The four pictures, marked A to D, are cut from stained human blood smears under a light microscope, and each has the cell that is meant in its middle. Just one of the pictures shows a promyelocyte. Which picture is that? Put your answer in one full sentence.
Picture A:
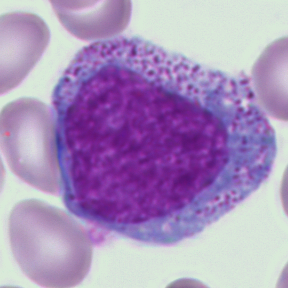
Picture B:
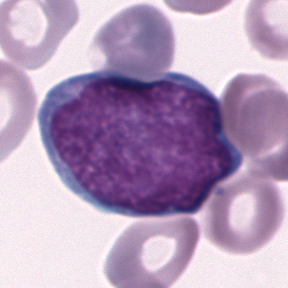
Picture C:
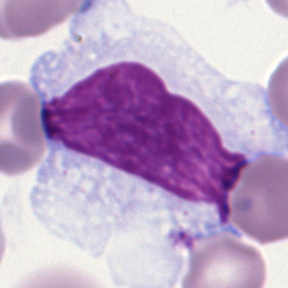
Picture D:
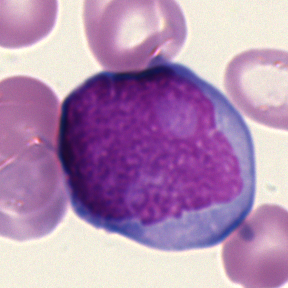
The promyelocyte is the one in picture A.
